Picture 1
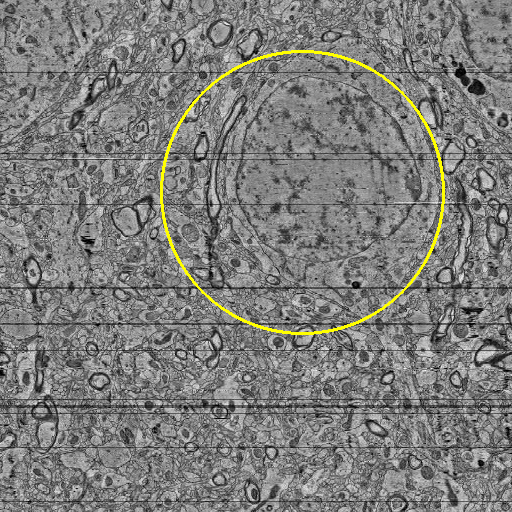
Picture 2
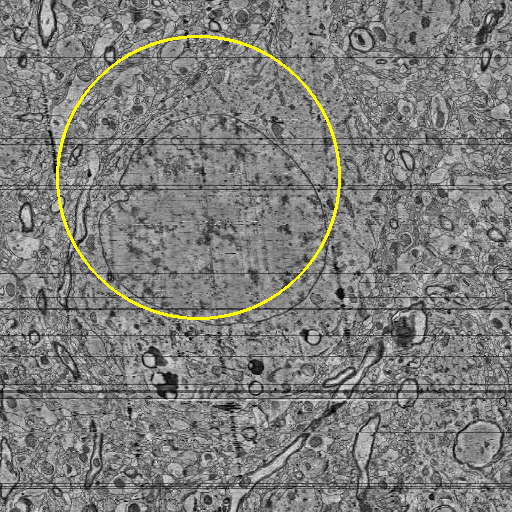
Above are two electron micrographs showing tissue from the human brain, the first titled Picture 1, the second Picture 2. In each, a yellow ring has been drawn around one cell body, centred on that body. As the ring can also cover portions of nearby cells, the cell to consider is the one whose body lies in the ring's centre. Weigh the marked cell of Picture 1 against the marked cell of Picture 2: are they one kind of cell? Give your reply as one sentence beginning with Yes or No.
Yes, the two cells sitting at the ring centres in the pictures are of one kind.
